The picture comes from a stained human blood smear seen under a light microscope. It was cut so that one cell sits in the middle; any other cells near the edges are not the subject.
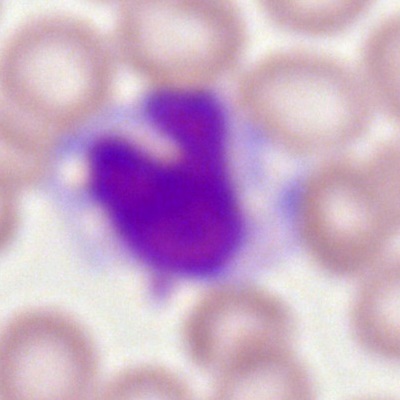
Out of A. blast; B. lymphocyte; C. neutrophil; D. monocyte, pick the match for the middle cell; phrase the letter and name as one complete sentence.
What option D states is correct, the central cell being a monocyte.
